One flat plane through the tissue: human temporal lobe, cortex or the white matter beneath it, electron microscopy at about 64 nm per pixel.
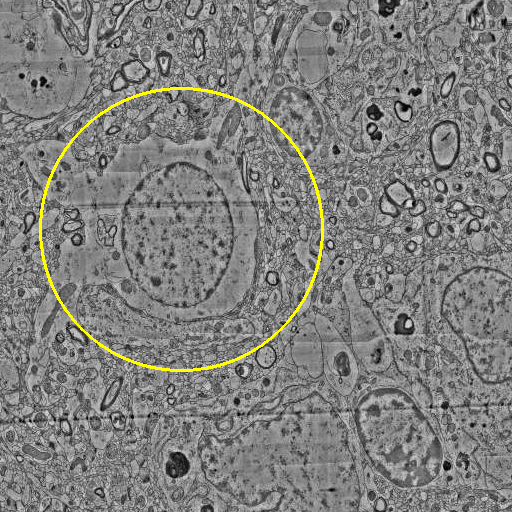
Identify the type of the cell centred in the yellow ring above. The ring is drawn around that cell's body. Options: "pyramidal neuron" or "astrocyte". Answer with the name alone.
astrocyte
